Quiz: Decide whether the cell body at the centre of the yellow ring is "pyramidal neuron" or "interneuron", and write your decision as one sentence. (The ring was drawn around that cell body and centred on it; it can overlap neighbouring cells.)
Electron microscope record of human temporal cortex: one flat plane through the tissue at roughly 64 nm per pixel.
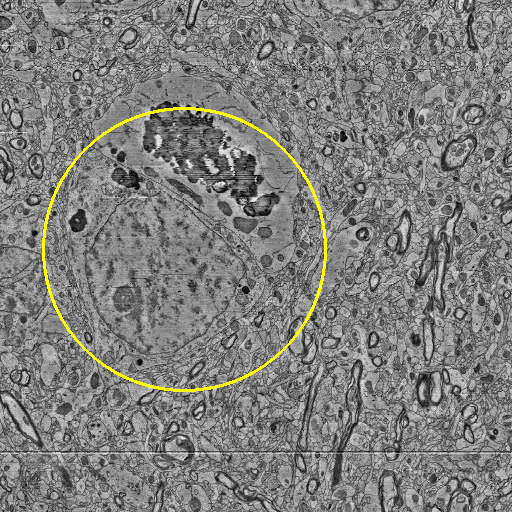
The cell the ring is centred on is a pyramidal neuron.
